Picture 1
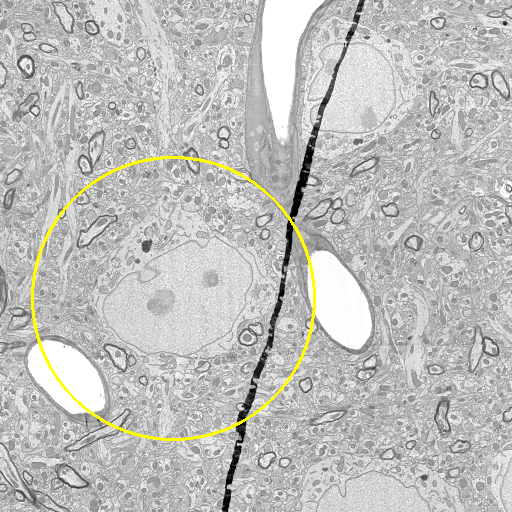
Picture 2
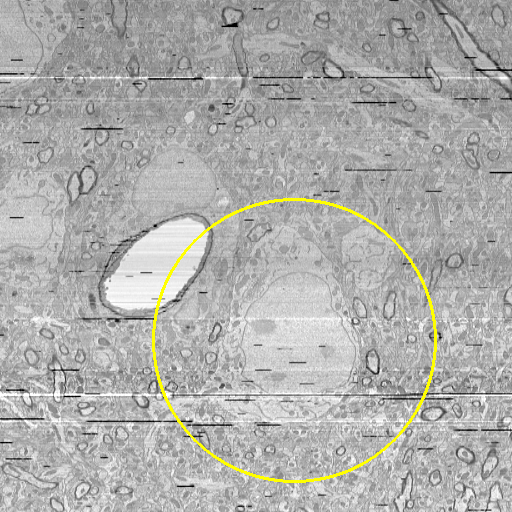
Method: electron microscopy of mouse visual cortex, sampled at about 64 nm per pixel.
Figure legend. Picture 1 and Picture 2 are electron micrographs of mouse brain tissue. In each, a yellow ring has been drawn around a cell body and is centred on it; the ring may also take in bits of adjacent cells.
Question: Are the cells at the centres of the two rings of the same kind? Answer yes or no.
yes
